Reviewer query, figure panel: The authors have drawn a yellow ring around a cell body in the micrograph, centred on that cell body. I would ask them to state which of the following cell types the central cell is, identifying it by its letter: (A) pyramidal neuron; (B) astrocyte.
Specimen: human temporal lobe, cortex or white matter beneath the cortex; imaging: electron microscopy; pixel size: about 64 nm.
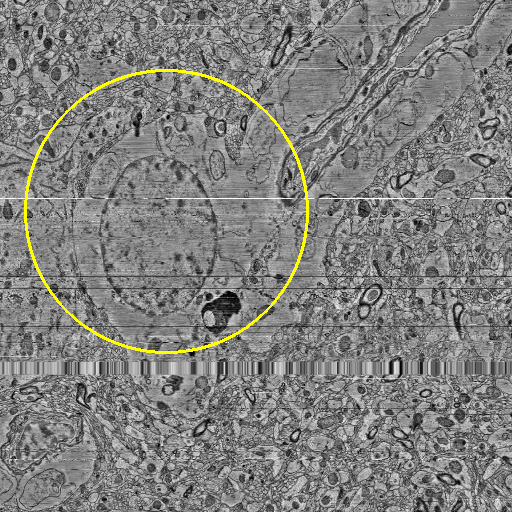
B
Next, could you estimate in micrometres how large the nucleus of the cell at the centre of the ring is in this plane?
Approximately 11 micrometres long and 7 micrometres wide, in this plane.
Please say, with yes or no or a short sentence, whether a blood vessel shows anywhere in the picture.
Yes, there is one.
